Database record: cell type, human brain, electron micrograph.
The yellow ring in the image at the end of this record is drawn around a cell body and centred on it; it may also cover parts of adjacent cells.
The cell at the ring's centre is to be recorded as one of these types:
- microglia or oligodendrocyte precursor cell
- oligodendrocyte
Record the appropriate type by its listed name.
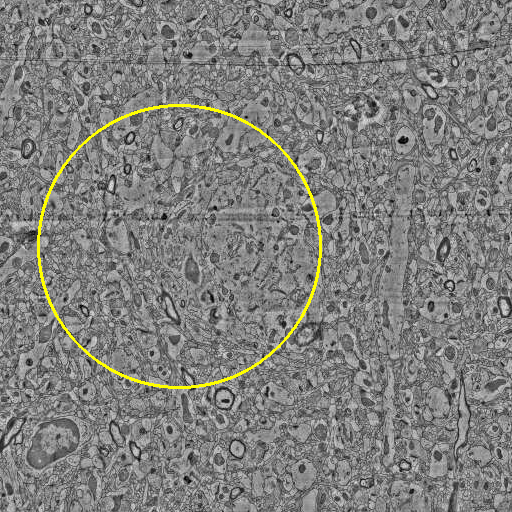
microglia or oligodendrocyte precursor cell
